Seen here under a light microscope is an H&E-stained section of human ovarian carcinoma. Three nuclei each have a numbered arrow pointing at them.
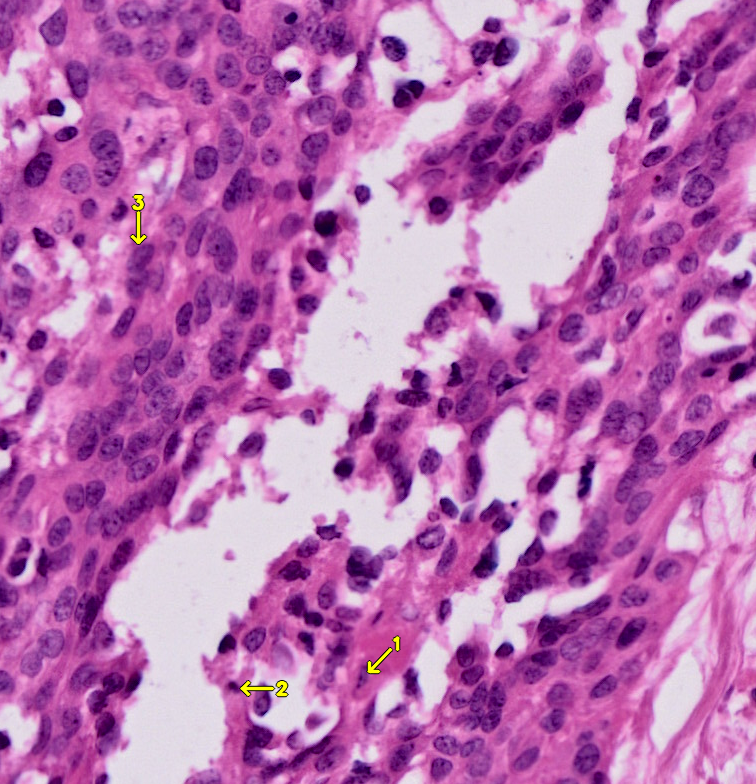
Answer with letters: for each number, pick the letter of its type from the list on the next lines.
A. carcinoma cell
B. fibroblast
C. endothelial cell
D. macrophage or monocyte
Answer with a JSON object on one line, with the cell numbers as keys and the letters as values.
{"1": "C", "2": "D", "3": "A"}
